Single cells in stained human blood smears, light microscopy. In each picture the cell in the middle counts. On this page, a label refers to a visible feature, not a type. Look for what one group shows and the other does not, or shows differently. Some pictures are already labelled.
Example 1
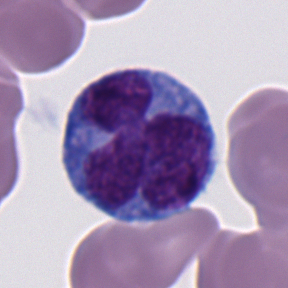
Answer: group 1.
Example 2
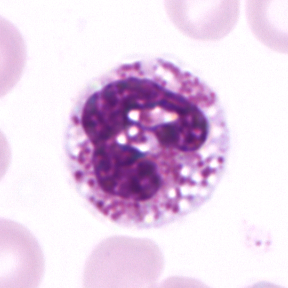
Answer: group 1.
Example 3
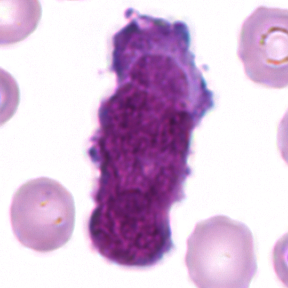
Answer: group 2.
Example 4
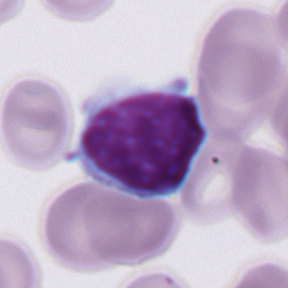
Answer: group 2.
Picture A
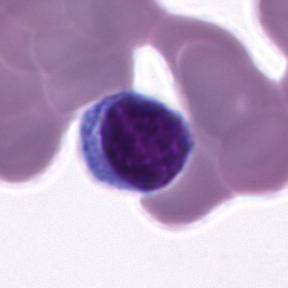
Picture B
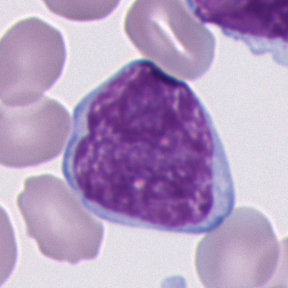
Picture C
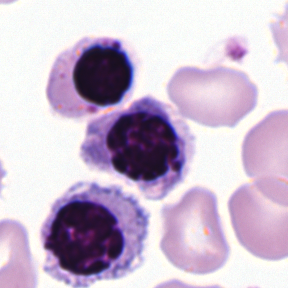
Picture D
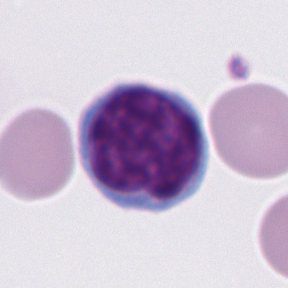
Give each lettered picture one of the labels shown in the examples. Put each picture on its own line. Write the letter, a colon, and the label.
A: group 1.
B: group 1.
C: group 2.
D: group 1.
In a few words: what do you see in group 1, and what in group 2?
Seen in group 1: smooth outline; seen in group 2: ragged outline or projections.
